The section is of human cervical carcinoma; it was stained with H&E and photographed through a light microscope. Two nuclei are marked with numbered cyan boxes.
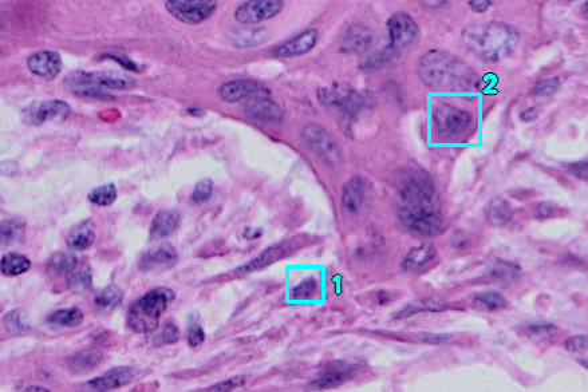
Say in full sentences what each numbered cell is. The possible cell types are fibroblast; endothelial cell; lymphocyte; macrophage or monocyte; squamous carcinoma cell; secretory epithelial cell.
Cell 1 is a fibroblast and cell 2 is a squamous carcinoma cell.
